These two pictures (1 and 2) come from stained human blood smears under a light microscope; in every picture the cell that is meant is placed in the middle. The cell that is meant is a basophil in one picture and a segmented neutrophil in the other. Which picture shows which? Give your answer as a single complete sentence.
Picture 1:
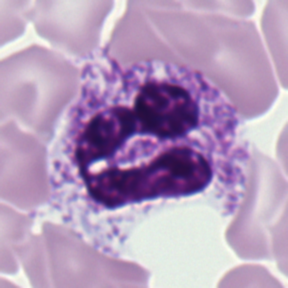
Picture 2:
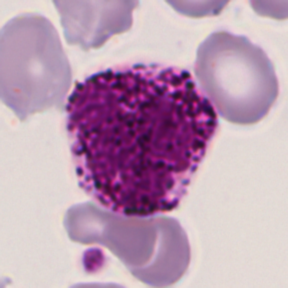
Picture 1 is of a segmented neutrophil, and picture 2 is of a basophil.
